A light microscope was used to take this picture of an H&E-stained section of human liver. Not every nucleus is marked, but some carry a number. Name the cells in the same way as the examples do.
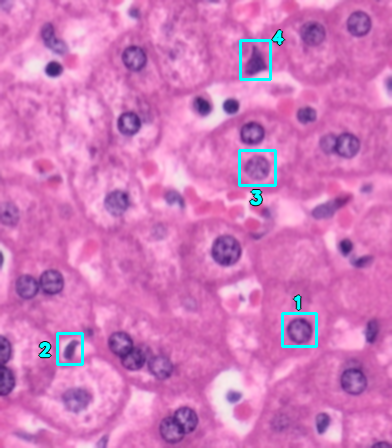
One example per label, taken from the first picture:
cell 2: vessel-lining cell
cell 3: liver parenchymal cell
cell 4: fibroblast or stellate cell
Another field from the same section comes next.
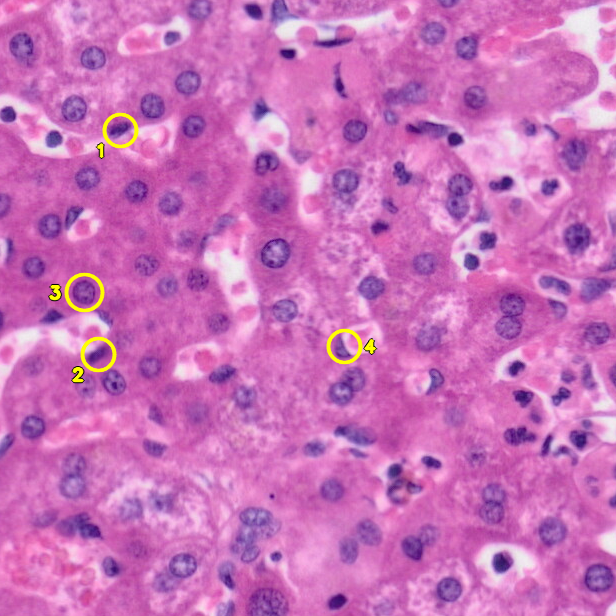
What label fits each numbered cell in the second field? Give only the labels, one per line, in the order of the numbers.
fibroblast or stellate cell
fibroblast or stellate cell
liver parenchymal cell
vessel-lining cell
